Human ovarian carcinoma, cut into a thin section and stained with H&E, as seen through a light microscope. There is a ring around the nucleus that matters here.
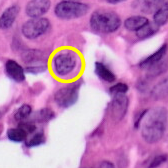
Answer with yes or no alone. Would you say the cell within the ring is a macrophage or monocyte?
yes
